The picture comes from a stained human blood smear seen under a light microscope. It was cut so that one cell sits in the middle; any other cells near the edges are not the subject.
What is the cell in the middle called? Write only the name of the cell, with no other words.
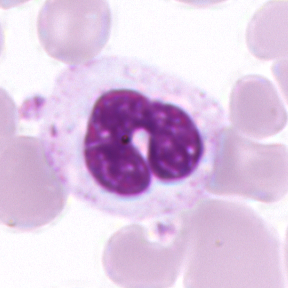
band neutrophil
